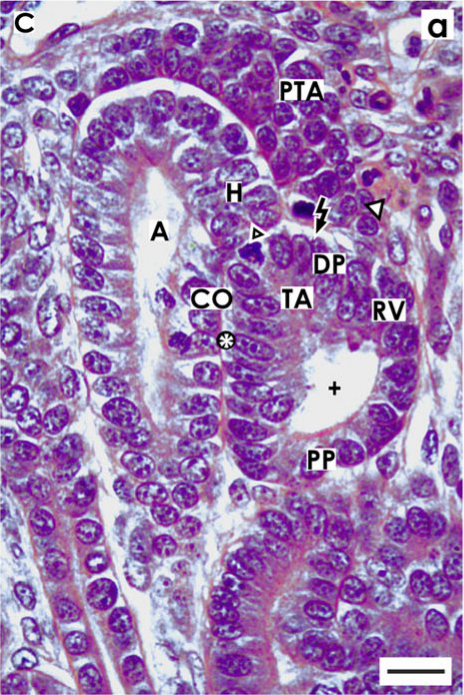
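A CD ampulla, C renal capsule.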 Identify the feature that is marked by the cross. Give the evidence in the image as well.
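The cross lies in a clear, cell-free space.
Answer: lumen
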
